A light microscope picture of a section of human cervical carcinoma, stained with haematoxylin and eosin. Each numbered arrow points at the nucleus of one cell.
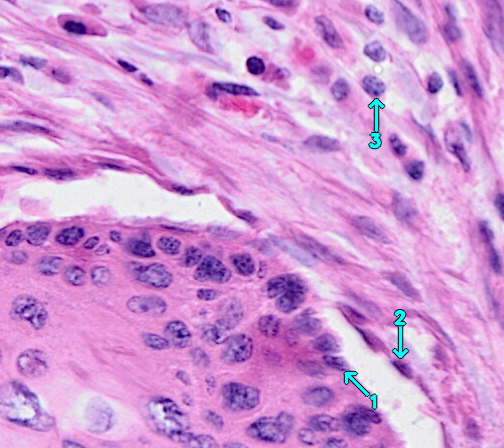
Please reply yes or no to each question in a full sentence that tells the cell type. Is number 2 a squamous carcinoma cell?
No, the marked cell 2 is not a squamous carcinoma cell, being instead a fibroblast.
